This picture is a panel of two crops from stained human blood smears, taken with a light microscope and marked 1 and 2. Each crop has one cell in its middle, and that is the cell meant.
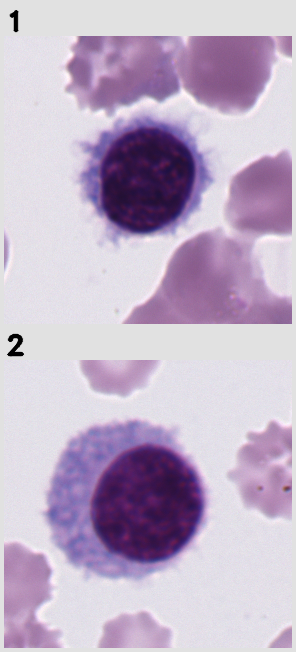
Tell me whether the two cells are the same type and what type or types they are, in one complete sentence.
Yes, in both crops the centred cells are hairy cells.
